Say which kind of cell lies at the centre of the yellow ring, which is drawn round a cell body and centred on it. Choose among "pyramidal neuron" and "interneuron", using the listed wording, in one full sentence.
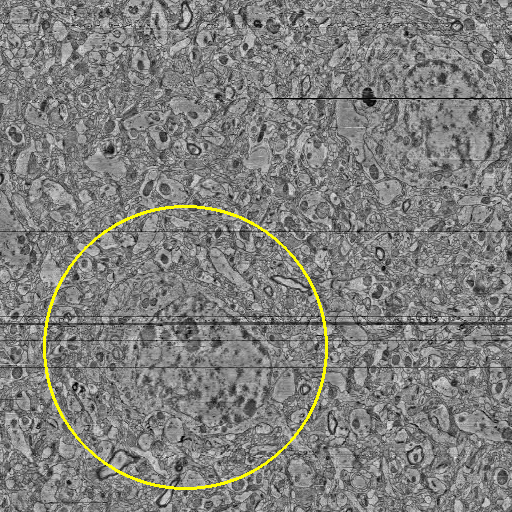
Going by the list, the cell at the yellow ring's centre is an interneuron.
